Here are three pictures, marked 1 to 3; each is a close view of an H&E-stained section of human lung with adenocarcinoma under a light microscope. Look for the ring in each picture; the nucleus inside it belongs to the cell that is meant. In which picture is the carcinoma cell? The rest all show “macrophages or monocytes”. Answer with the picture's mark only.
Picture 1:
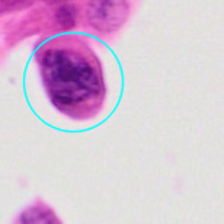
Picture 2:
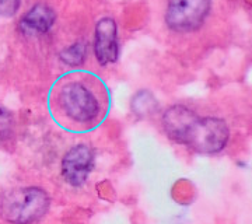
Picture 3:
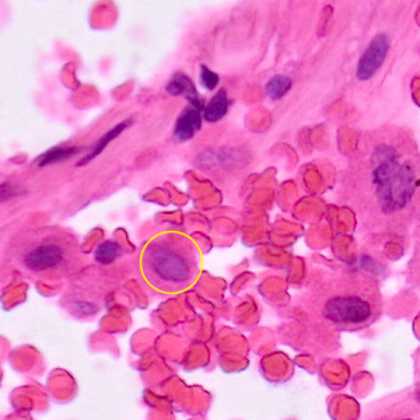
1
